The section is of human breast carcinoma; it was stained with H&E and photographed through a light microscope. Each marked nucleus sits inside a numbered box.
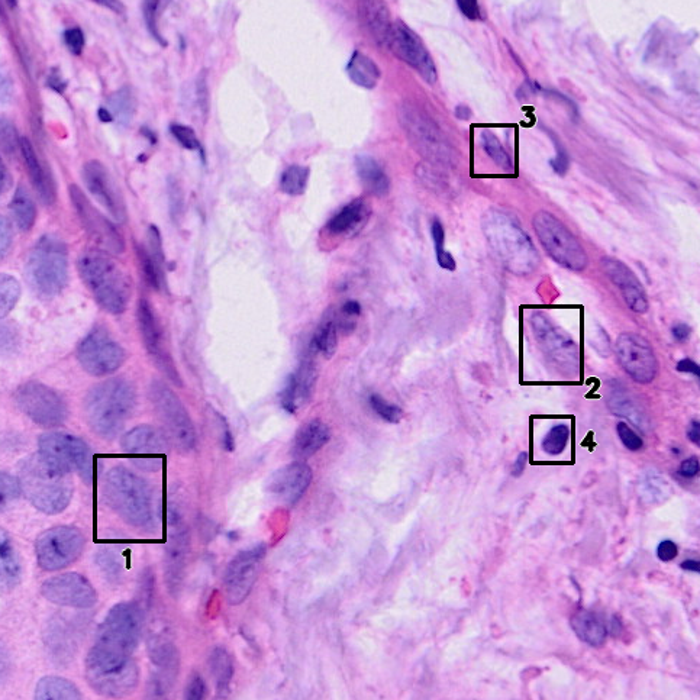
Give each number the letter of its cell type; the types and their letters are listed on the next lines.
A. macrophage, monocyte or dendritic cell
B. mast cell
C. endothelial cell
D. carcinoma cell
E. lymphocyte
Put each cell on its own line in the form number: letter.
1: D
2: C
3: C
4: E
